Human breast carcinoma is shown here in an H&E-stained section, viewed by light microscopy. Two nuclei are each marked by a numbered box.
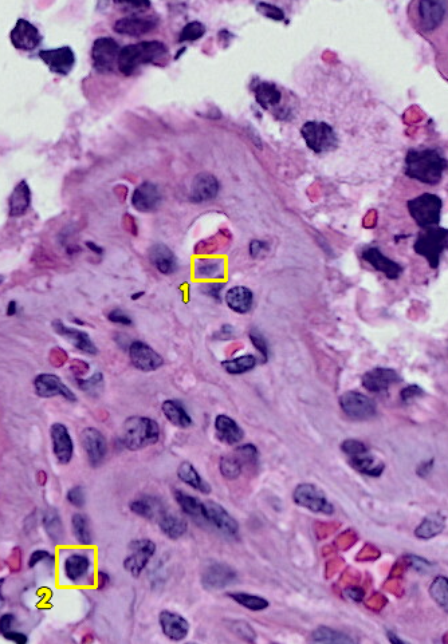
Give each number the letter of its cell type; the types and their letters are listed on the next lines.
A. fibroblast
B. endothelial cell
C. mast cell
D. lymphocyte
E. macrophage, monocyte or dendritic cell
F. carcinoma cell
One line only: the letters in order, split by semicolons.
B; D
